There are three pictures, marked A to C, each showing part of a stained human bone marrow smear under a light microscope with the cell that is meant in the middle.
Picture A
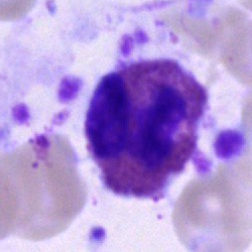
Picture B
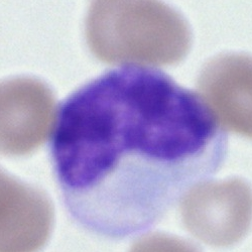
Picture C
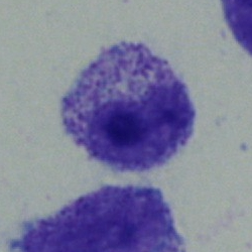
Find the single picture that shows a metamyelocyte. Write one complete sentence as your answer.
Picture B shows the metamyelocyte.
